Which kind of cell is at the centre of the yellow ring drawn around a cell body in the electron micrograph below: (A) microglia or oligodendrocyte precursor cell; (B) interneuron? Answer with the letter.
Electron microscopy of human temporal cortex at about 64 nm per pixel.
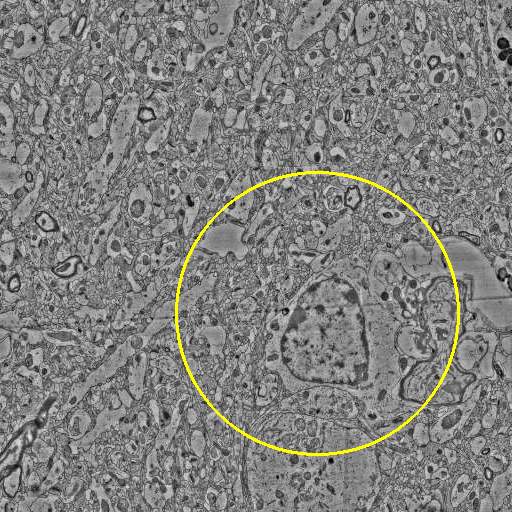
A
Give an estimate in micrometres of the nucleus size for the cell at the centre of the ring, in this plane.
About 7 by 6 micrometers for the nucleus, in this plane.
